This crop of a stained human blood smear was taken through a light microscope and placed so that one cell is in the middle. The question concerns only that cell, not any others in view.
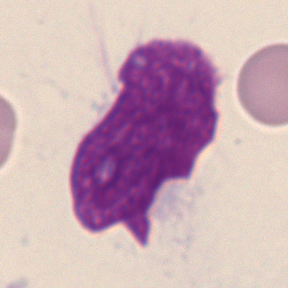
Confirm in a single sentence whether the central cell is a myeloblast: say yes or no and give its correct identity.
No, the centre cell is not a myeloblast but a smudge cell.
